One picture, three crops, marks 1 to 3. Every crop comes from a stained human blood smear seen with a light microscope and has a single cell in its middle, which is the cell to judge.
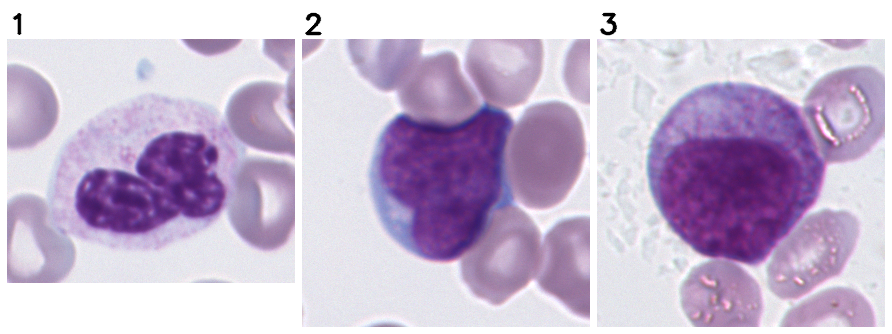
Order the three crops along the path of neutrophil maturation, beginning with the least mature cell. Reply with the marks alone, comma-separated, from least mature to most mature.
2, 3, 1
